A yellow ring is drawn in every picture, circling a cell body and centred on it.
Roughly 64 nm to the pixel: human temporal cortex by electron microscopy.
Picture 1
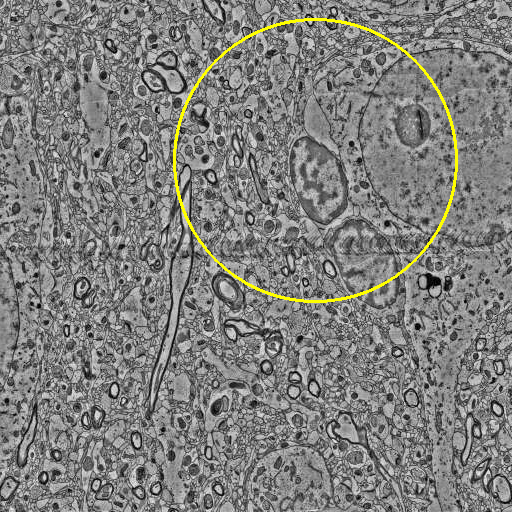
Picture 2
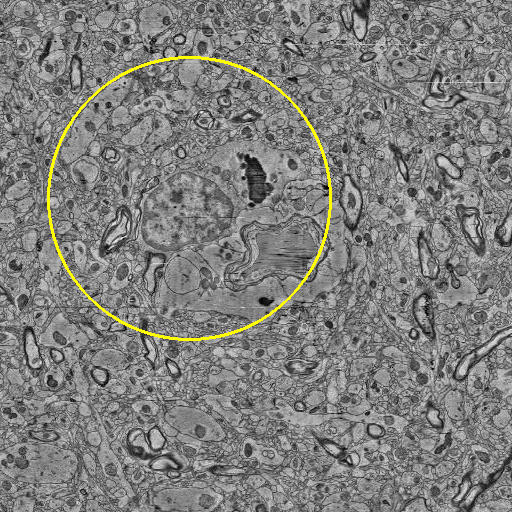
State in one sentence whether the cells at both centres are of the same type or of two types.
The cells at the two ring centres, one per picture, are of two types.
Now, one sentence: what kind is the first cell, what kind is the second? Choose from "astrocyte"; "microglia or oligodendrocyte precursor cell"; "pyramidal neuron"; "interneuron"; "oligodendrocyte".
The first picture has a microglial cell or oligodendrocyte precursor cell at its ring centre, and the second has an oligodendrocyte.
